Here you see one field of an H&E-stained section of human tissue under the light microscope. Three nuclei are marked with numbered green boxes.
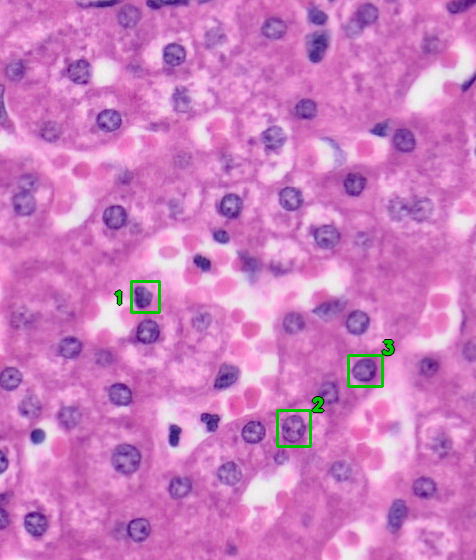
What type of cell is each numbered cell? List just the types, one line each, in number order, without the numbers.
fibroblast or stellate cell
hepatocyte
hepatocyte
